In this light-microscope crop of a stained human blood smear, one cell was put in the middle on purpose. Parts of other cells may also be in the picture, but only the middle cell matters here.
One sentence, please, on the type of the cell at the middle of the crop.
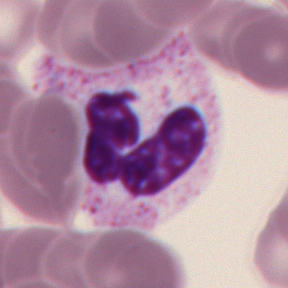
Framed in the middle of the crop is a segmented neutrophil.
